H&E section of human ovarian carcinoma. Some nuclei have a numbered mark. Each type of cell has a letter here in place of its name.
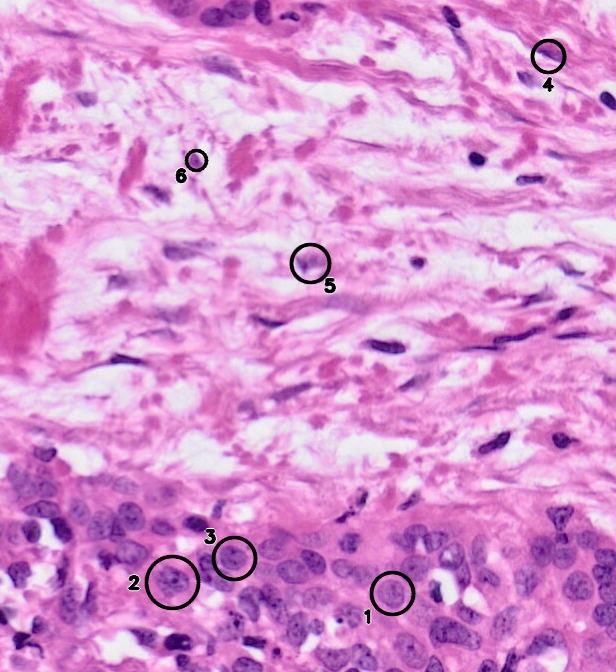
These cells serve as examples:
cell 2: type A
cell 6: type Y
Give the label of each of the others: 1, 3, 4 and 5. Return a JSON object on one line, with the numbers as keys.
{"1": "type A", "3": "type A", "4": "type Y", "5": "type Y"}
